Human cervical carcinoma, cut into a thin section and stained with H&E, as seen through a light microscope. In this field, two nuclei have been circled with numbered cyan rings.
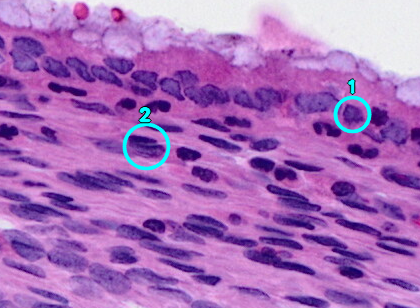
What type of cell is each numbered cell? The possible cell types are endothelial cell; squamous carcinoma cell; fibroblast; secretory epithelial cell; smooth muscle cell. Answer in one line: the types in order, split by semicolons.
secretory epithelial cell; fibroblast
